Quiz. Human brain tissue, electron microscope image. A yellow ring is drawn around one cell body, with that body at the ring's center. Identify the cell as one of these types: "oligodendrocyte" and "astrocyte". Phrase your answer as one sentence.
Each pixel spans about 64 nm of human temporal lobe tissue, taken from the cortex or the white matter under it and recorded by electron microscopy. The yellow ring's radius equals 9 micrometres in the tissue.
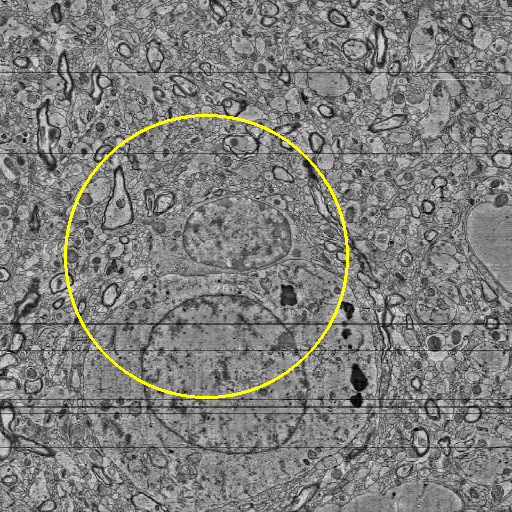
At the center of the ring sits an oligodendrocyte.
